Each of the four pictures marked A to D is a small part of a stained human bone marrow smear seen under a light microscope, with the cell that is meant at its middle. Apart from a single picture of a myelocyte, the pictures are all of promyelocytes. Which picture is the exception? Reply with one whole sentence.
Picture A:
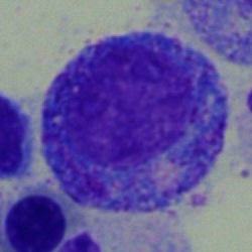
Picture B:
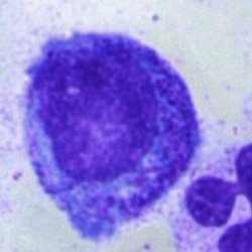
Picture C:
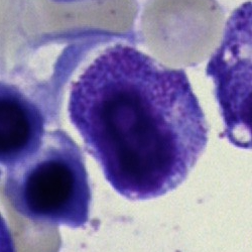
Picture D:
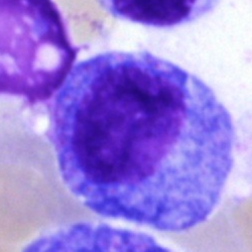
The cell in picture C is the myelocyte.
